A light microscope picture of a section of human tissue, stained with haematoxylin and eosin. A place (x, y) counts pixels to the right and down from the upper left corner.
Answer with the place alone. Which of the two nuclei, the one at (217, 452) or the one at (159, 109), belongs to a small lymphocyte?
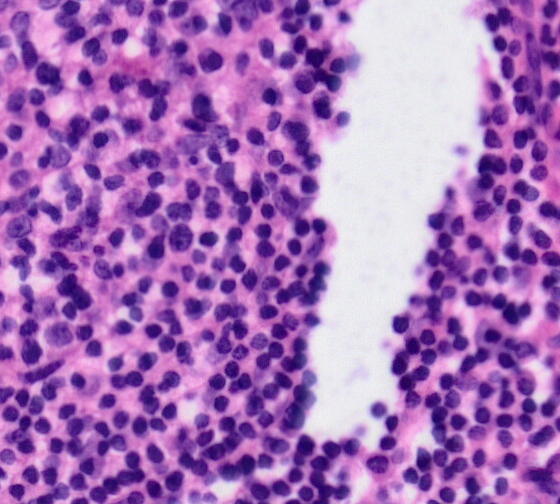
(217, 452)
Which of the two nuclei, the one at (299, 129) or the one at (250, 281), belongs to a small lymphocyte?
(250, 281)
